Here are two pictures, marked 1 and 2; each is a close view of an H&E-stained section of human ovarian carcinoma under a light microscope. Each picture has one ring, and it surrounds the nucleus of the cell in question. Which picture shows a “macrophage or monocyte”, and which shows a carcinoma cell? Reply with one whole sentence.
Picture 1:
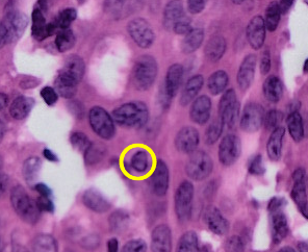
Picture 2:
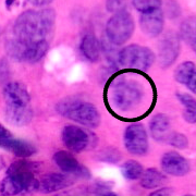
In picture 1 the cell is a “macrophage or monocyte”; in picture 2, a carcinoma cell.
